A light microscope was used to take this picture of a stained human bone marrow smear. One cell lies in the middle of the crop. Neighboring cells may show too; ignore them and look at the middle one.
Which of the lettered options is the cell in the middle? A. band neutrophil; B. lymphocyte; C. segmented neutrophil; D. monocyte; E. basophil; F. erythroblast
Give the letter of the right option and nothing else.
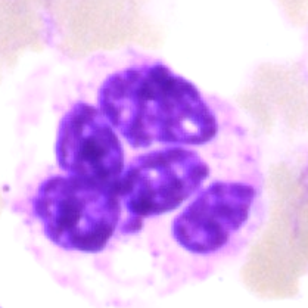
C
